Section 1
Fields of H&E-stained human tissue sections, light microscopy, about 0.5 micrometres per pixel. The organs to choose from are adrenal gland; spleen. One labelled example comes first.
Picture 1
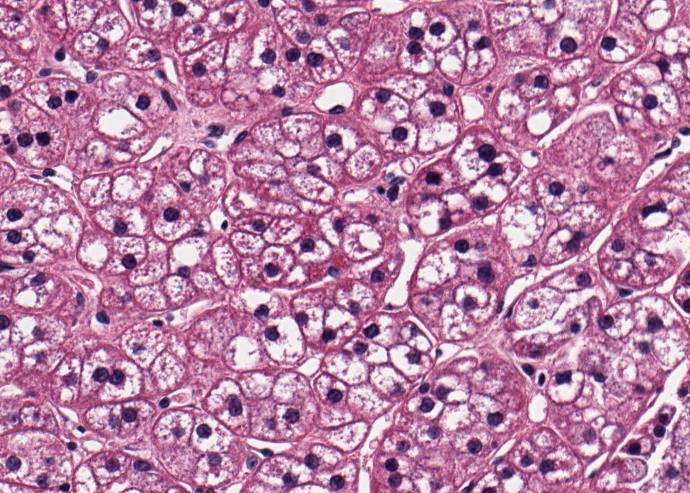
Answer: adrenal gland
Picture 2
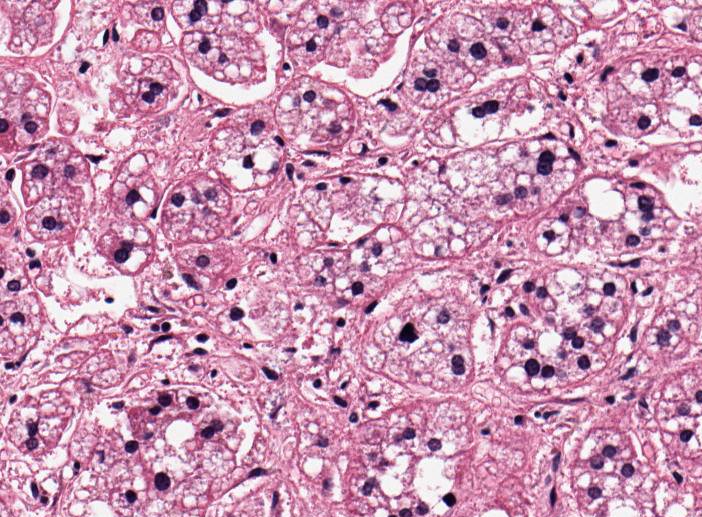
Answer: adrenal gland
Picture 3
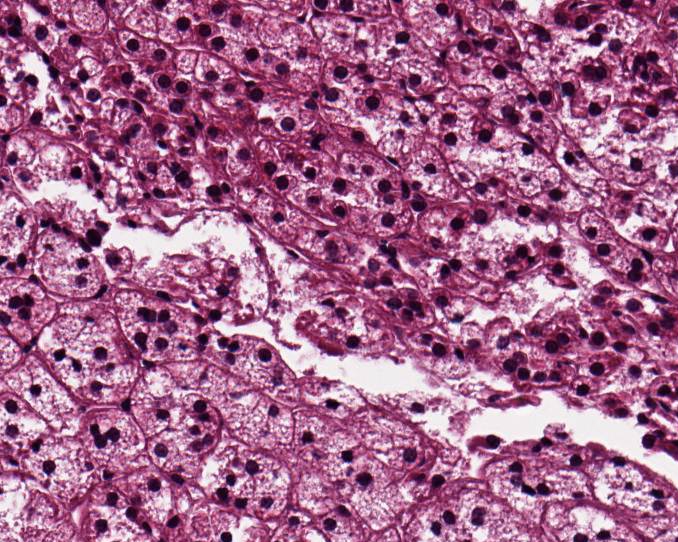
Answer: adrenal gland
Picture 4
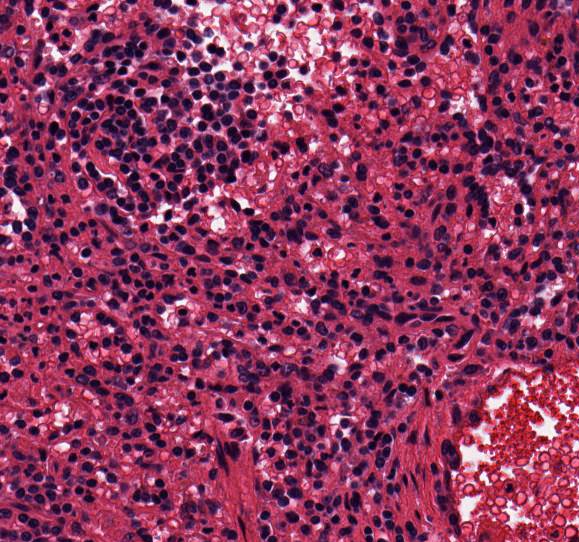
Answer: spleen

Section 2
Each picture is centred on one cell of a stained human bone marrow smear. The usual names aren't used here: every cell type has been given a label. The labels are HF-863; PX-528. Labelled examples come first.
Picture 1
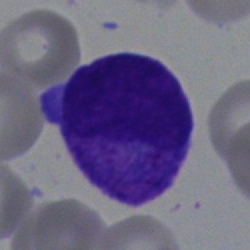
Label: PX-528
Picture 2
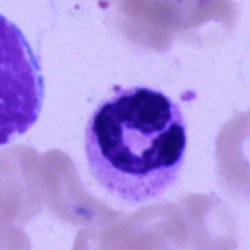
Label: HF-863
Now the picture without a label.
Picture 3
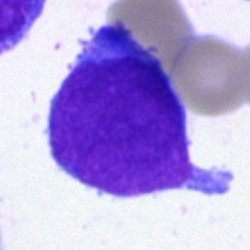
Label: PX-528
